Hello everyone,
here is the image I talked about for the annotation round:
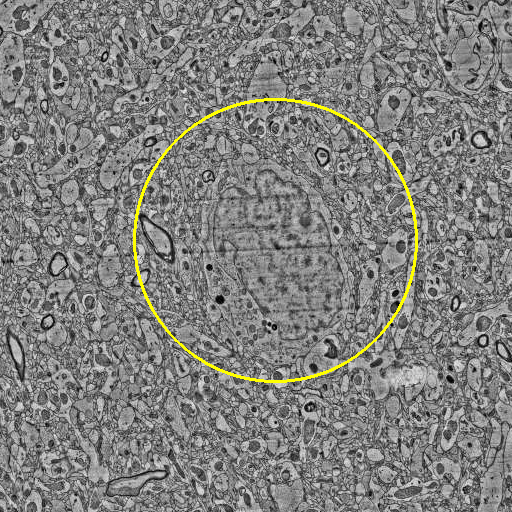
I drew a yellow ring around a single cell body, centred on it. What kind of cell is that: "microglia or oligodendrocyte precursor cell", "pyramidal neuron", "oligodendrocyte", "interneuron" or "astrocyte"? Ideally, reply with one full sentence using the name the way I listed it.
The cell your yellow ring is centred on is an interneuron, going by your list.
